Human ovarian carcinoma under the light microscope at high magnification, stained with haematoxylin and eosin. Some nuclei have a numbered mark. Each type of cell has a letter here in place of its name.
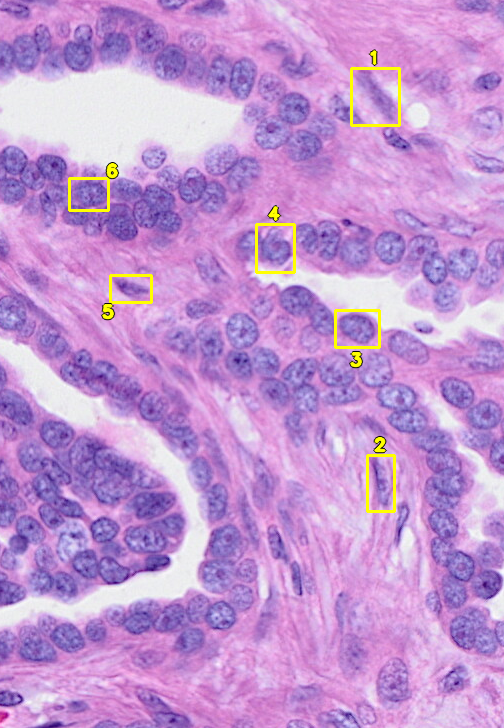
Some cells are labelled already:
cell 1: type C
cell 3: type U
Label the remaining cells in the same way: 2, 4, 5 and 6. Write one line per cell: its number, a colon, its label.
2: type C
4: type U
5: type C
6: type U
